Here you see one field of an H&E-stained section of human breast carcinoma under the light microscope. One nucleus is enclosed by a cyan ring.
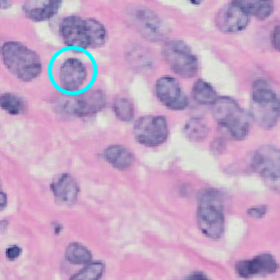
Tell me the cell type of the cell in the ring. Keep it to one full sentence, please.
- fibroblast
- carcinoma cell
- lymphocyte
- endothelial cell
As far as its identity is concerned, the cell in the ring is a carcinoma cell.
